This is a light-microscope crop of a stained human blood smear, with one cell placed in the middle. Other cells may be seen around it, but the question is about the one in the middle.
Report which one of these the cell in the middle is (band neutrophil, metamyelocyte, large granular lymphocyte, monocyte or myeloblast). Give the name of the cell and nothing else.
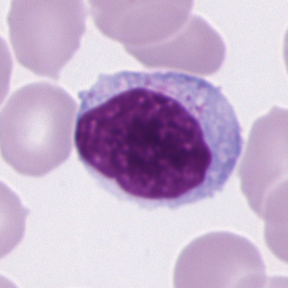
large granular lymphocyte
